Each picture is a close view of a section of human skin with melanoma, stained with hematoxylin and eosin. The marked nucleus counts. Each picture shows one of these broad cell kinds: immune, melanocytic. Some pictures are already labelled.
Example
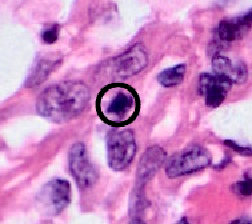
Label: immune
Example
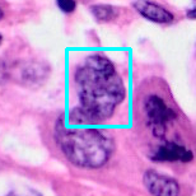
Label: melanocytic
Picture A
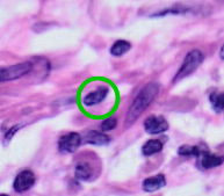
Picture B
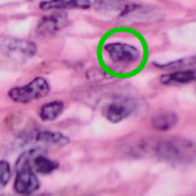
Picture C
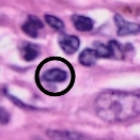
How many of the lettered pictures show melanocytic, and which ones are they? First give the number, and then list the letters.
0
